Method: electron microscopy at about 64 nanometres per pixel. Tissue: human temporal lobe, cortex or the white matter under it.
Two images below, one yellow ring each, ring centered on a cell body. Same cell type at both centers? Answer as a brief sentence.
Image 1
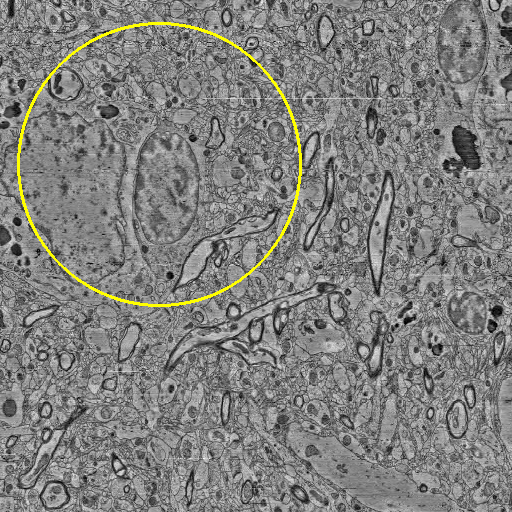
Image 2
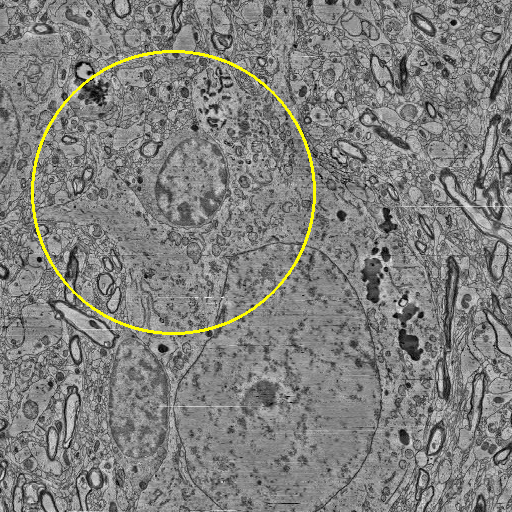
Yes, both cells are of the same type.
